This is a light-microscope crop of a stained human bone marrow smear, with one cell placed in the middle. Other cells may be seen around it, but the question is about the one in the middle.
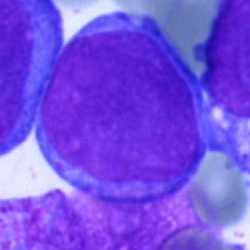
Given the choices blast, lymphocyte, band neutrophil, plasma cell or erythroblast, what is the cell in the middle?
blast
